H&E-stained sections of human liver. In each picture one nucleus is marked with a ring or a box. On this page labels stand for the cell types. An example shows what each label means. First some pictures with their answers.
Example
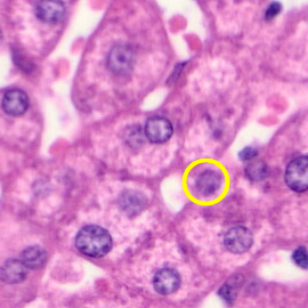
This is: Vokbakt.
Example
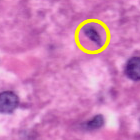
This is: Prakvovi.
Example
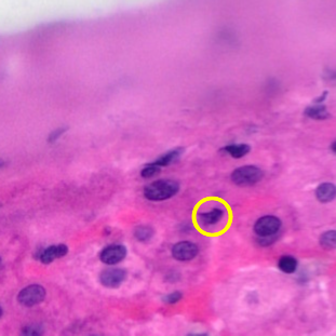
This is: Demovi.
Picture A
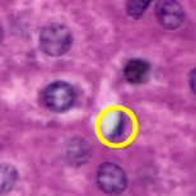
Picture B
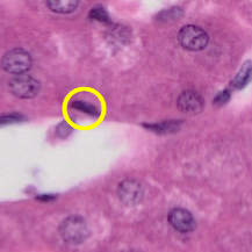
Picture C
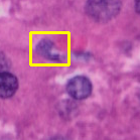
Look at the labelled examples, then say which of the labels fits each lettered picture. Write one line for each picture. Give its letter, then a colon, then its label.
A: Prakvovi.
B: Demovi.
C: Prakvovi.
